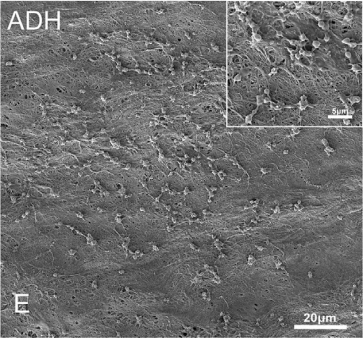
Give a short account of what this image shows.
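The surface of the sample is a fibrous, wavy matrix on which numerous small platelets have adhered. The platelets appear as small rounded bodies scattered across the field, and at higher magnification some show irregular outlines with short extensions spreading onto the underlying fibres. They are distributed widely rather than in a single cluster.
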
